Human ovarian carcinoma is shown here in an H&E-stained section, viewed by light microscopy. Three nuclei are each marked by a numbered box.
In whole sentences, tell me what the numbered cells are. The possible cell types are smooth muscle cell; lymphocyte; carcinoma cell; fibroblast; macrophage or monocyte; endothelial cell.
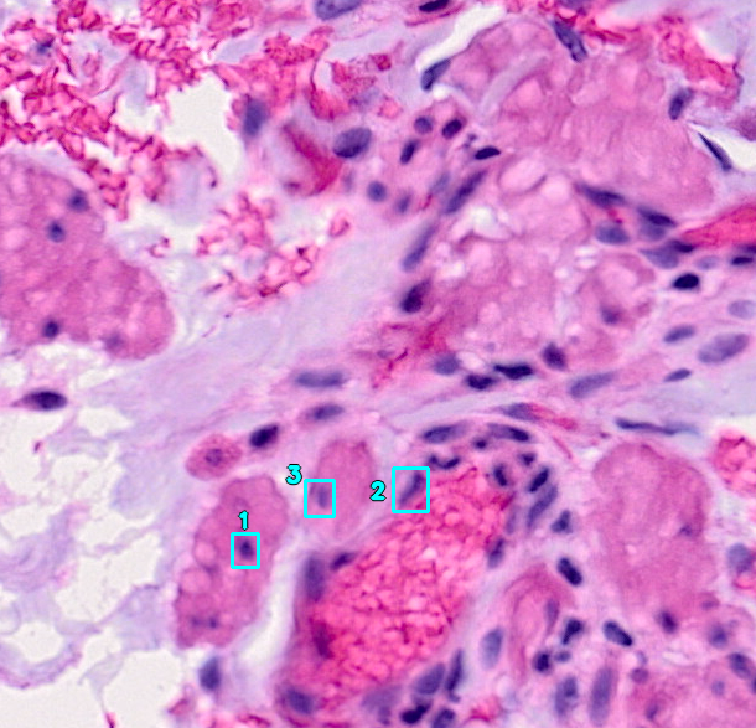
Cell 1 is a smooth muscle cell, cell 2 is an endothelial cell and cell 3 is a smooth muscle cell.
